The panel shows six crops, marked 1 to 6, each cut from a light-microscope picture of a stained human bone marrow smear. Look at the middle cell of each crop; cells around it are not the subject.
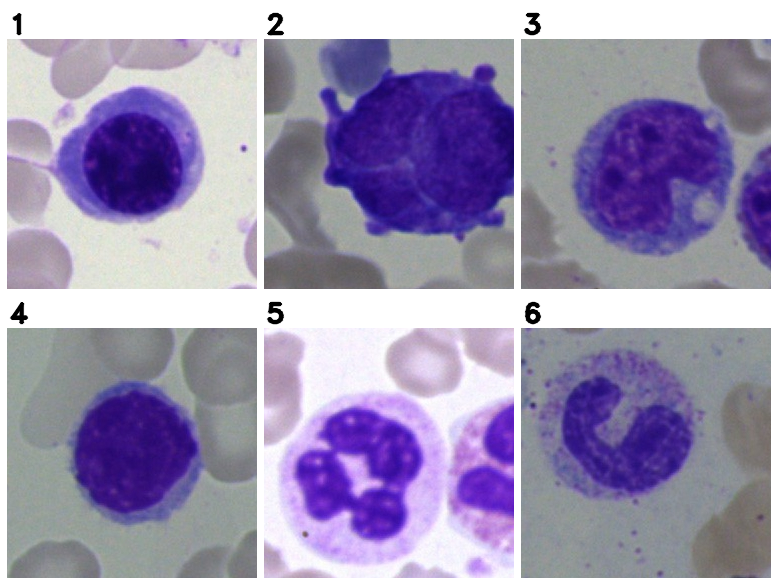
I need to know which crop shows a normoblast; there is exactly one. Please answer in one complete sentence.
Crop 1 is where a normoblast is to be found.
